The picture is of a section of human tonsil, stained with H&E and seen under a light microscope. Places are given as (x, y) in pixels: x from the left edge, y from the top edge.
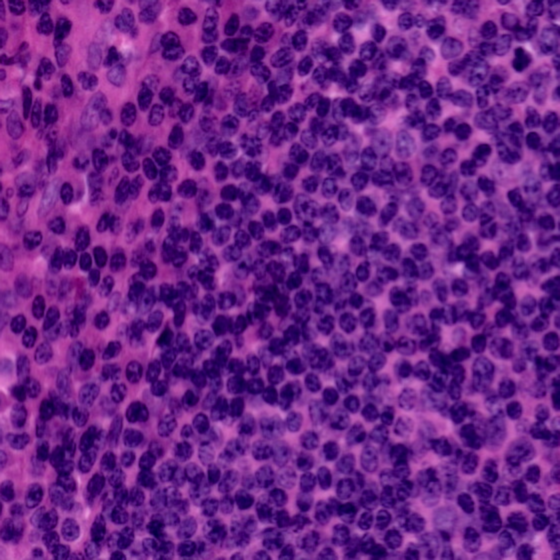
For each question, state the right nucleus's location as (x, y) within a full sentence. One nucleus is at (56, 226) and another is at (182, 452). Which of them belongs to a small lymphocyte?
The nucleus at (182, 452) belongs to a small lymphocyte, which distinguishes it from the other nucleus.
